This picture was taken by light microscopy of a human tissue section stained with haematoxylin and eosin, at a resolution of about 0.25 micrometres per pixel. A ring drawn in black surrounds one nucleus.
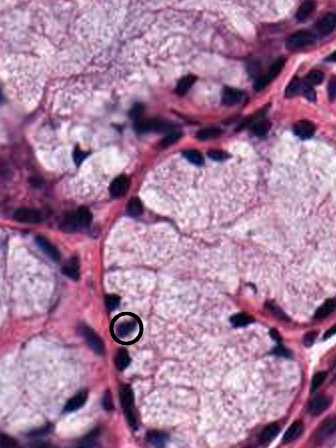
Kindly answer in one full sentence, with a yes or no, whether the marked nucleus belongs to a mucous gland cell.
Yes, the owner of the marked nucleus is a mucous gland cell.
